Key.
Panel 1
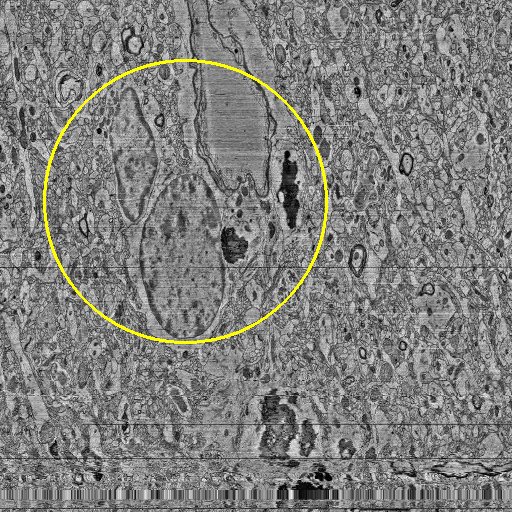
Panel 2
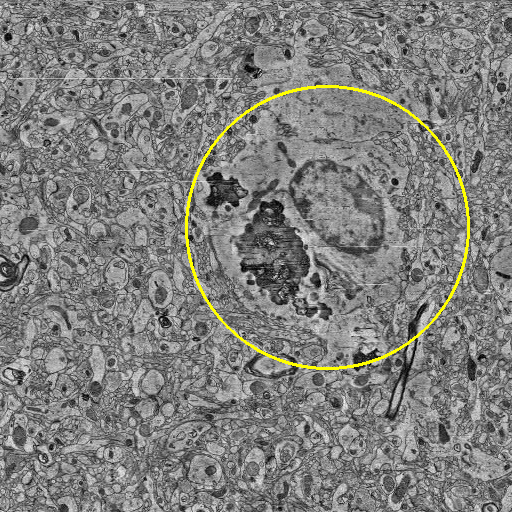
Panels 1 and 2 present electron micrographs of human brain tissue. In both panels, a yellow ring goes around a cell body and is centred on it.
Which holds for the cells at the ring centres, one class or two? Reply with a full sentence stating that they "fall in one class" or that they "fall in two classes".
Taken together, the ring-centre cells of the two panels fall in one class.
